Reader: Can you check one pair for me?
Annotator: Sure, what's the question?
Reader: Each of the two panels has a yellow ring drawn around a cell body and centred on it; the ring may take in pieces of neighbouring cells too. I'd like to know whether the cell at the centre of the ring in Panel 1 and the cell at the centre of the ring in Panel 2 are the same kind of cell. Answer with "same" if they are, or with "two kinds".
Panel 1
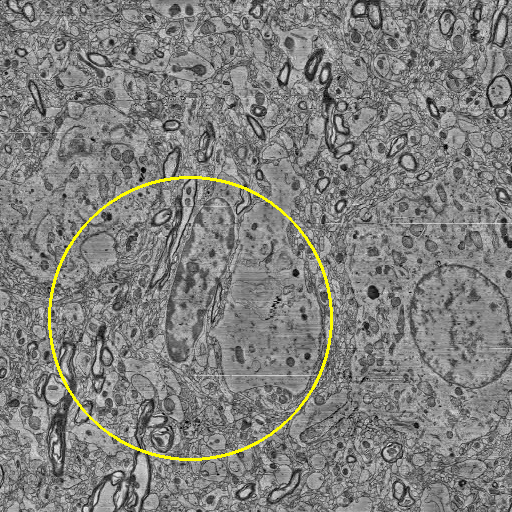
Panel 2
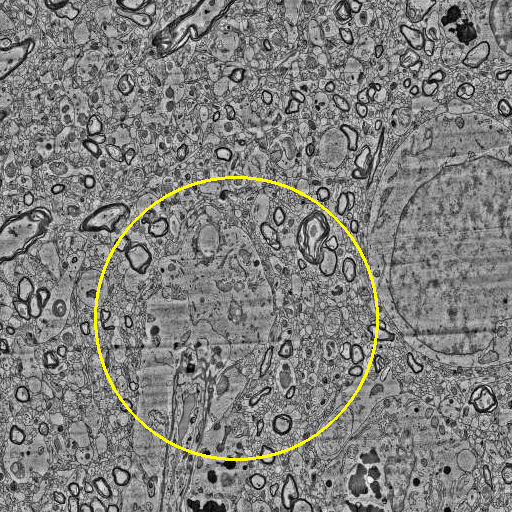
same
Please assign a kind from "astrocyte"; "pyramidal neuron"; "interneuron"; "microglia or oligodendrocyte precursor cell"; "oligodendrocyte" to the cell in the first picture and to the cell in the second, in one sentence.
Both the first and the second picture show a microglial cell or oligodendrocyte precursor cell in the ring.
